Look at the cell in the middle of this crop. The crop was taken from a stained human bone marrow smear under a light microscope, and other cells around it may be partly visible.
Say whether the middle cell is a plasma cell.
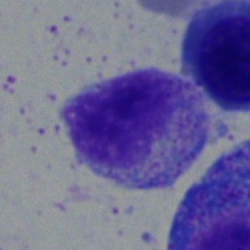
no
